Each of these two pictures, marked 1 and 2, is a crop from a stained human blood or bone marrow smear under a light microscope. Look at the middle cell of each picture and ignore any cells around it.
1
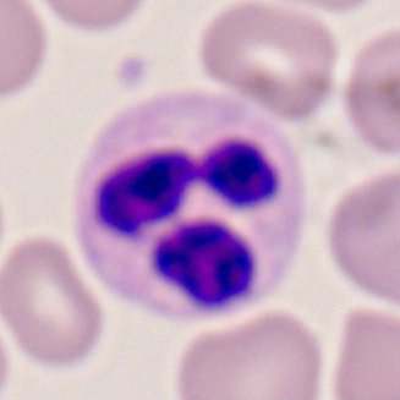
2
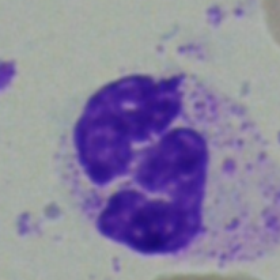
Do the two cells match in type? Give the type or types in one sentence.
No, a neutrophil is the cell in crop 1; a basophil is the cell in crop 2.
